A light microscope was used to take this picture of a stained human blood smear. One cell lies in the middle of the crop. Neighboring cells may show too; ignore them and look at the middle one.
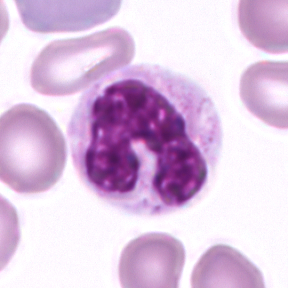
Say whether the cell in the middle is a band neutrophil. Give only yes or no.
yes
